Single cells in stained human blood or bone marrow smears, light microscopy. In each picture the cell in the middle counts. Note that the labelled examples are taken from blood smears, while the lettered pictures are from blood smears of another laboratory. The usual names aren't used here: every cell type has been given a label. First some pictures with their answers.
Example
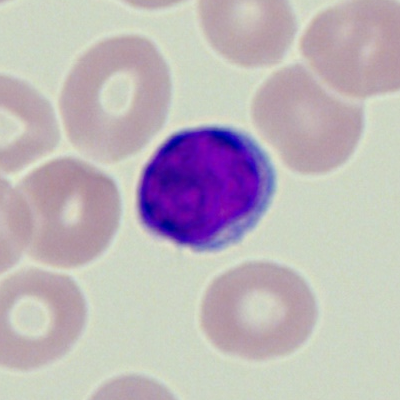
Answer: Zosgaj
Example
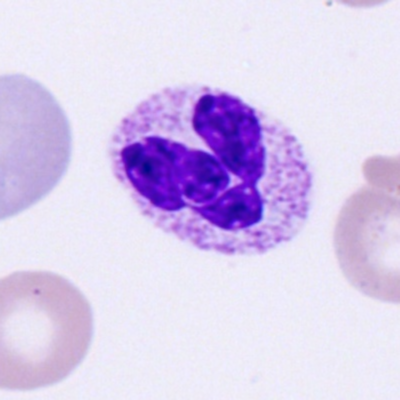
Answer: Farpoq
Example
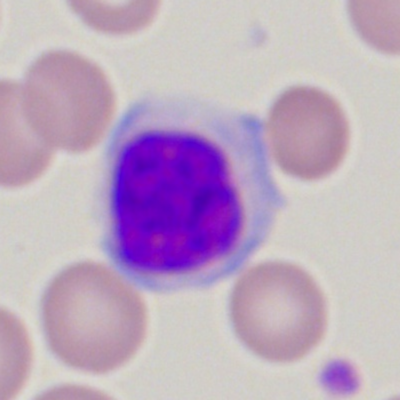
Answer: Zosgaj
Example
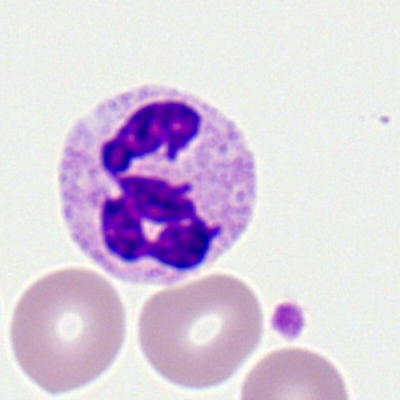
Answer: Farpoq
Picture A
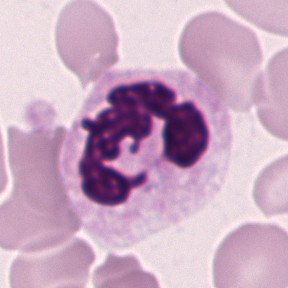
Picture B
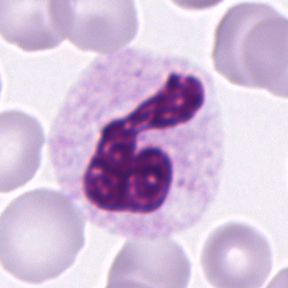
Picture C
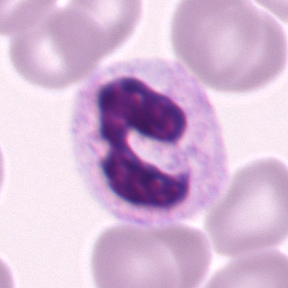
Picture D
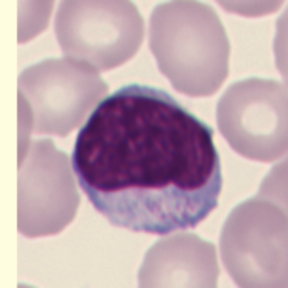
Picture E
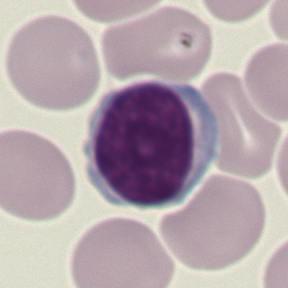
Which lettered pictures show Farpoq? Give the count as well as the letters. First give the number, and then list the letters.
3: A, B, C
